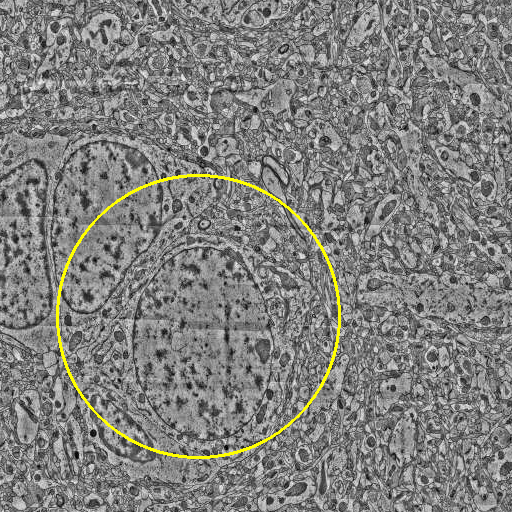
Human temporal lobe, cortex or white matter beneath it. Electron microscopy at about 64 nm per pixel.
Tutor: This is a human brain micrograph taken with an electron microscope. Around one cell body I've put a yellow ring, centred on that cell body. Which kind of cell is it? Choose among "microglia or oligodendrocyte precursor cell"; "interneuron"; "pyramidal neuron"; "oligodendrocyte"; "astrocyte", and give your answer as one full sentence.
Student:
Going by your list, the cell centred in the yellow ring is a pyramidal neuron.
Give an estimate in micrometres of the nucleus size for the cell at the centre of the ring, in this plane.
In this plane, the nucleus of the cell at the centre of the ring measures about 12 by 9 micrometres.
